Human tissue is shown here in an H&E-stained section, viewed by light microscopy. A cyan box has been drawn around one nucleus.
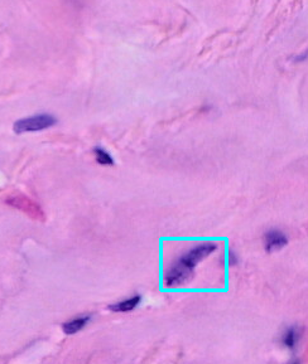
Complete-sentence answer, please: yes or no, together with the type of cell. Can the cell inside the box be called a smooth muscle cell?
No, the cell inside the box is not a smooth muscle cell; a fibroblast is what it is.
